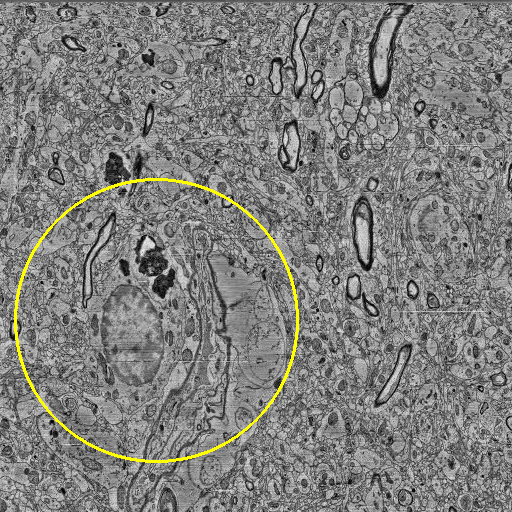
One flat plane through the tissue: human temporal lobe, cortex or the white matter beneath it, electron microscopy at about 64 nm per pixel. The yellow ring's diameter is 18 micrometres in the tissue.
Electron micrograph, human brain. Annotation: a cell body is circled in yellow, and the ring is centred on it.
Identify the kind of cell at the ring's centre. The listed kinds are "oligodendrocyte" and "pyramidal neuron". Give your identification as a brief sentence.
The circled cell body is that of an oligodendrocyte.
